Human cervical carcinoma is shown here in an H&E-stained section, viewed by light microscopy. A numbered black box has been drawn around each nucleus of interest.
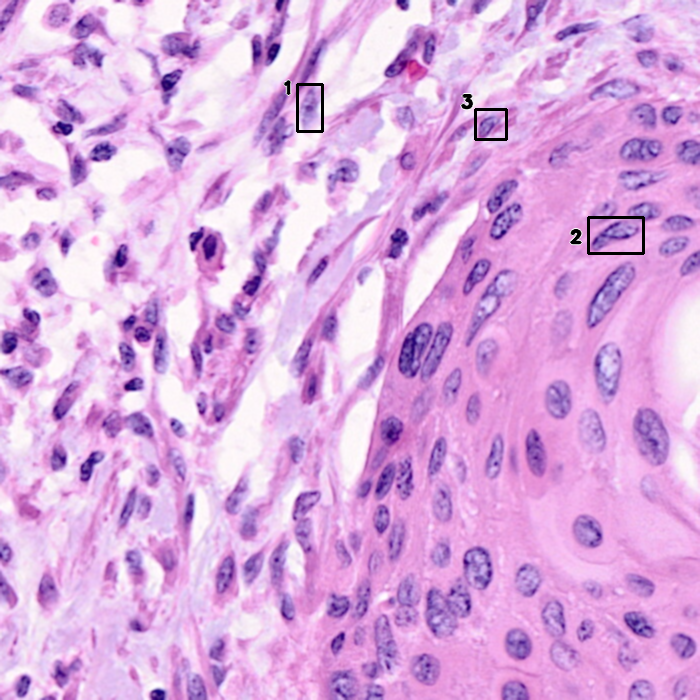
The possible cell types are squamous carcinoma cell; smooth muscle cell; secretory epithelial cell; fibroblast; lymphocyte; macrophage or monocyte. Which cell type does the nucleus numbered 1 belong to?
fibroblast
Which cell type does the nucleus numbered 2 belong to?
squamous carcinoma cell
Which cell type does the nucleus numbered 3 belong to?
fibroblast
